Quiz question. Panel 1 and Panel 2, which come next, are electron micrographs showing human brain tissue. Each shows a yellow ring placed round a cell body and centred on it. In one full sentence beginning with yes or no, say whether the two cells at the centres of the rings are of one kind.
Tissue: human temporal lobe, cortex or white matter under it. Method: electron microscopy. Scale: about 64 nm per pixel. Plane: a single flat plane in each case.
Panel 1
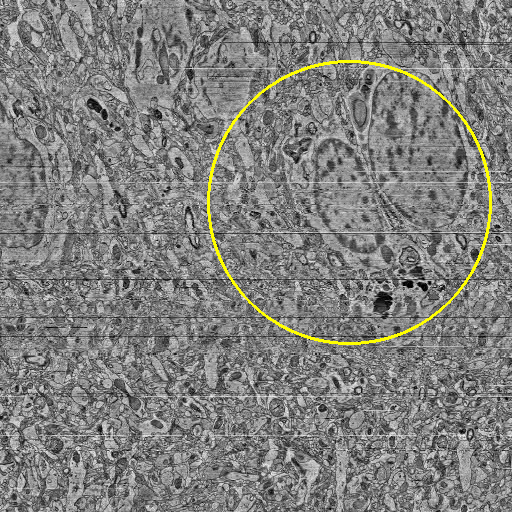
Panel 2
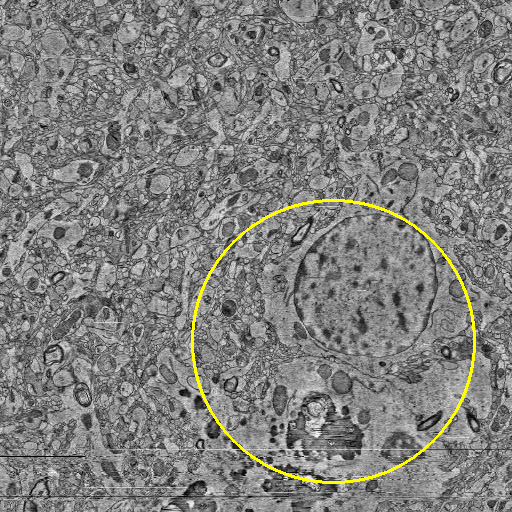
Yes, Panel 1 and Panel 2 show one kind of cell at the centre of the ring.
